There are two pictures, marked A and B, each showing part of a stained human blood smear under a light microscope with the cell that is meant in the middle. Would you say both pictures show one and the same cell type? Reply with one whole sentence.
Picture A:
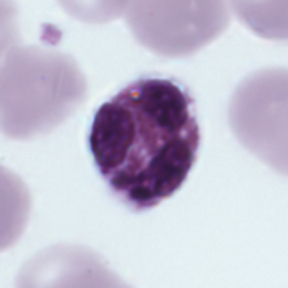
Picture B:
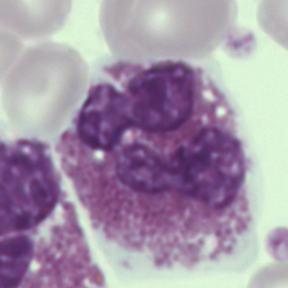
Yes, the two pictures both show eosinophils.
